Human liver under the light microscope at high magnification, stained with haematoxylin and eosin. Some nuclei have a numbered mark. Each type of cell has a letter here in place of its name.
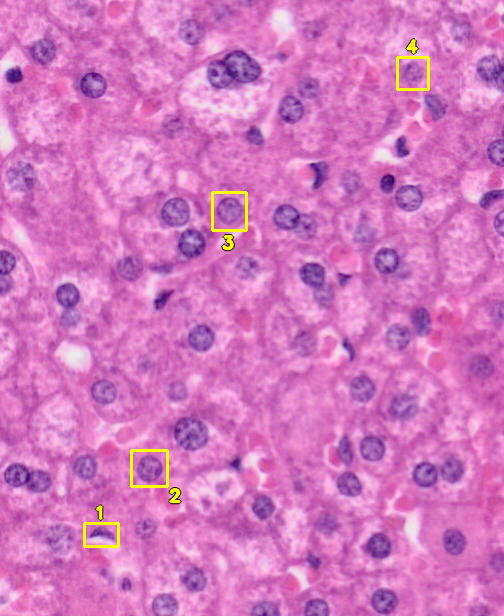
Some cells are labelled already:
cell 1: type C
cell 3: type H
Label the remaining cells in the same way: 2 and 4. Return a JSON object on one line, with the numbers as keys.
{"2": "type H", "4": "type H"}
